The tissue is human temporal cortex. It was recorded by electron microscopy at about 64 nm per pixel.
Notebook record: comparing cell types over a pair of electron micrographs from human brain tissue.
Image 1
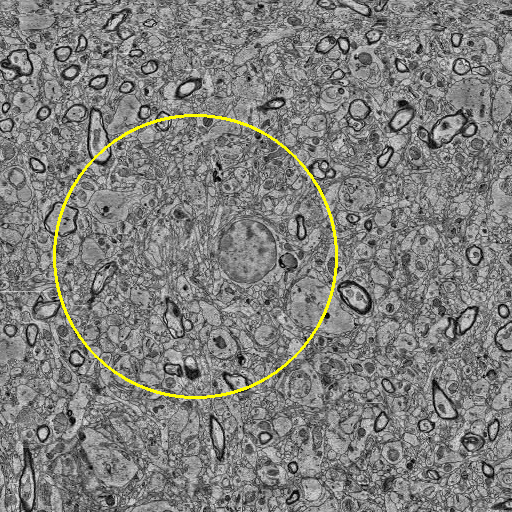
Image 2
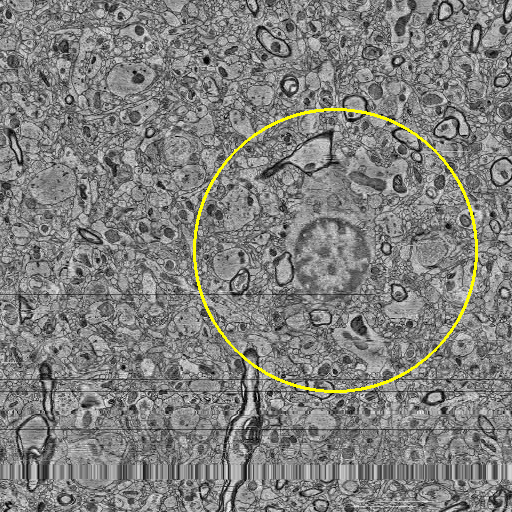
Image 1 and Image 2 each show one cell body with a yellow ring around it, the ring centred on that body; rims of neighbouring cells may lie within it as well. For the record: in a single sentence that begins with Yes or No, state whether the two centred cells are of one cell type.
No, two cell types are found among the centred cells of Image 1 and Image 2.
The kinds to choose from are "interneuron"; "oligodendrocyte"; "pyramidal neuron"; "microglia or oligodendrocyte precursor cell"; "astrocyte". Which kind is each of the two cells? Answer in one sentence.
Of the two, the first cell is a microglial cell or oligodendrocyte precursor cell and the second cell is an oligodendrocyte.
